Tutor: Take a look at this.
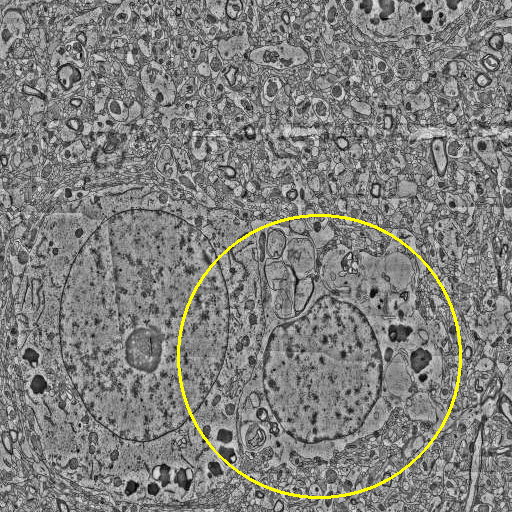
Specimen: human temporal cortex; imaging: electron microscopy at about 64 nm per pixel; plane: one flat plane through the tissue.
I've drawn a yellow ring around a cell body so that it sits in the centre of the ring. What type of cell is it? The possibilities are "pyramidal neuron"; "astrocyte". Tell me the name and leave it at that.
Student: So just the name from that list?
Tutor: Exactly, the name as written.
astrocyte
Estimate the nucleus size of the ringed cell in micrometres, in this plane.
Roughly 9 by 8 micrometres is the size of the nucleus in this plane.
